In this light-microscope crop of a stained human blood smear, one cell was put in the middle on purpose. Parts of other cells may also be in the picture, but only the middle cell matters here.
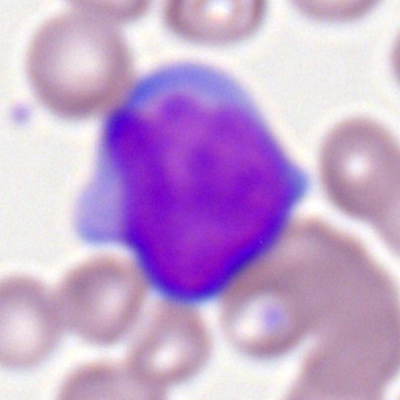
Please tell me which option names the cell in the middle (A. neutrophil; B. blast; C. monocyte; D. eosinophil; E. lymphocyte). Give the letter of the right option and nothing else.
B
